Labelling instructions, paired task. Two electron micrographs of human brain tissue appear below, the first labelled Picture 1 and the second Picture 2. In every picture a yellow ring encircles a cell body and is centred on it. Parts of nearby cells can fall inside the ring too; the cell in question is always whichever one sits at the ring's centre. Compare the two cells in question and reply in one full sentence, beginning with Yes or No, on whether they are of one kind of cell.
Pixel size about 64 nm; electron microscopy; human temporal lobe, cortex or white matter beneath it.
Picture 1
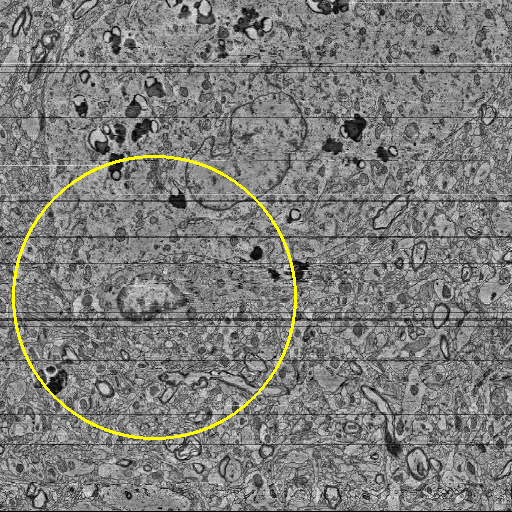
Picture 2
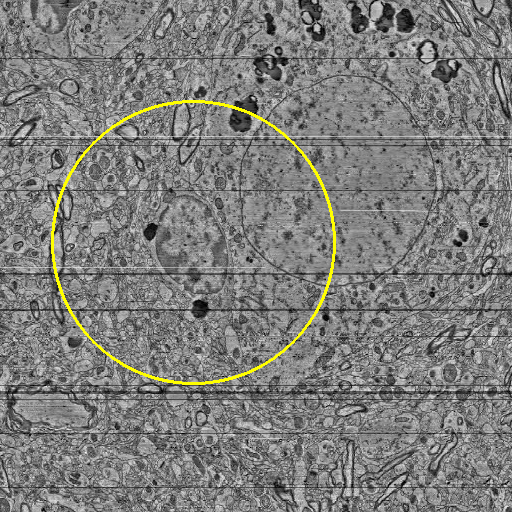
Yes, the two cells at the ring centres in Picture 1 and Picture 2 are of one kind.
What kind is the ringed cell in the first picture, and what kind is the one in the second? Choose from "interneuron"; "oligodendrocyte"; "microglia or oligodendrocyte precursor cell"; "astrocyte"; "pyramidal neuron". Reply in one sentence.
Each one of the two ringed cells is an oligodendrocyte.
